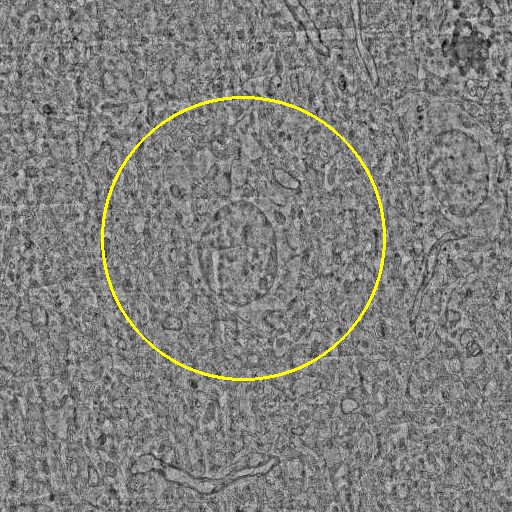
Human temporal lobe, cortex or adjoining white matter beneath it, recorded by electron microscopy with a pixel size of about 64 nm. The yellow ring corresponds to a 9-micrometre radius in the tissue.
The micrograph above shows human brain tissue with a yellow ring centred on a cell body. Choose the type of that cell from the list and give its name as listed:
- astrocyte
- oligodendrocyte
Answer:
astrocyte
